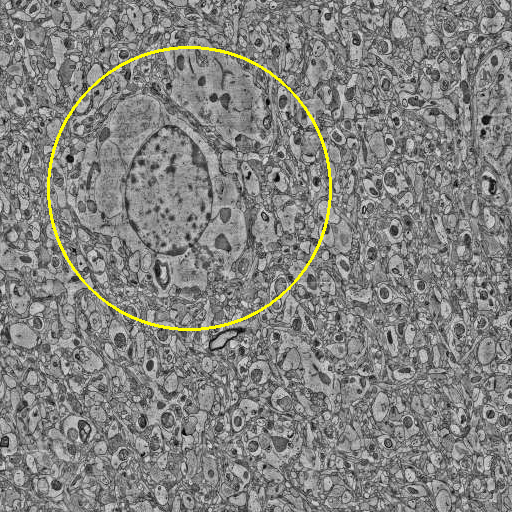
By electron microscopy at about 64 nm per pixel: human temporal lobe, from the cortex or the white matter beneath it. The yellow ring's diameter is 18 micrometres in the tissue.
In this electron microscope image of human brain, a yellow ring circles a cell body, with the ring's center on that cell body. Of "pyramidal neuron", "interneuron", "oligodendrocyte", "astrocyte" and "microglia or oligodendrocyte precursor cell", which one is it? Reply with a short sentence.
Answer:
It is an astrocyte at the center of the ring.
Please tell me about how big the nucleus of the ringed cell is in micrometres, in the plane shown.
In this plane, about 8 micrometres in length and 6 in width.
